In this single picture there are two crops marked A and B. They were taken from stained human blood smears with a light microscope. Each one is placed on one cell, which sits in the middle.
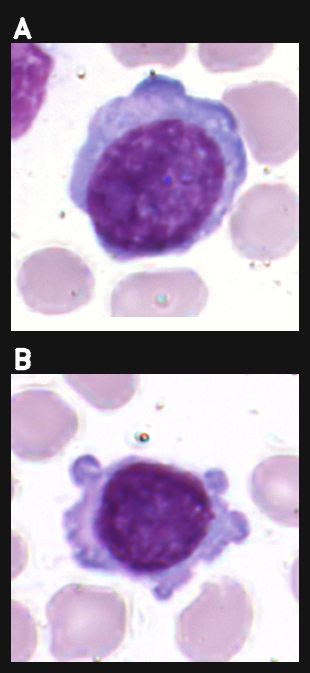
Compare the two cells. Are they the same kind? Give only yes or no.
yes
